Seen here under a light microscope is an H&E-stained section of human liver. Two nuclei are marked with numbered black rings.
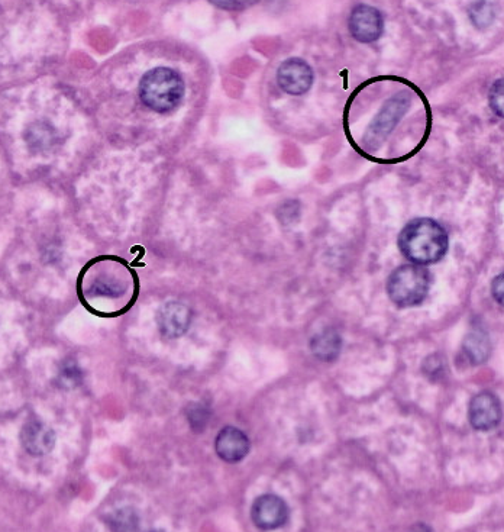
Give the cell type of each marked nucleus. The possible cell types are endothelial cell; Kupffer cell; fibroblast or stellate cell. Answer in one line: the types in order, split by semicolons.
Kupffer cell; endothelial cell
